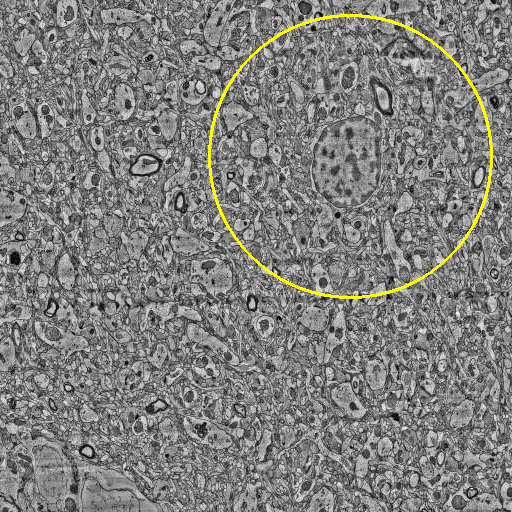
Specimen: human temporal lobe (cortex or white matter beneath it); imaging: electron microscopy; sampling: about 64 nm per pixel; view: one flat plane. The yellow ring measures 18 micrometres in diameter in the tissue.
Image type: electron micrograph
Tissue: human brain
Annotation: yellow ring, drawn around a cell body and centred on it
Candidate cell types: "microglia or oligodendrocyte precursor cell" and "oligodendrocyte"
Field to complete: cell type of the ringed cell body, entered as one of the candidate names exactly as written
microglia or oligodendrocyte precursor cell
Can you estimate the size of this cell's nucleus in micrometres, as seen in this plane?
The nucleus of the ringed cell is approximately 6 by 4 micrometres in this plane.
